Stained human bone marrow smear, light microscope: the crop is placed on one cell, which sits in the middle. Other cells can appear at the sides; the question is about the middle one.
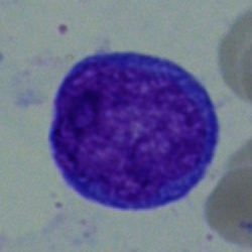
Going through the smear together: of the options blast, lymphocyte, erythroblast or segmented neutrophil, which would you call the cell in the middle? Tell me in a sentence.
The cell in the exact centre of the crop is a blast.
